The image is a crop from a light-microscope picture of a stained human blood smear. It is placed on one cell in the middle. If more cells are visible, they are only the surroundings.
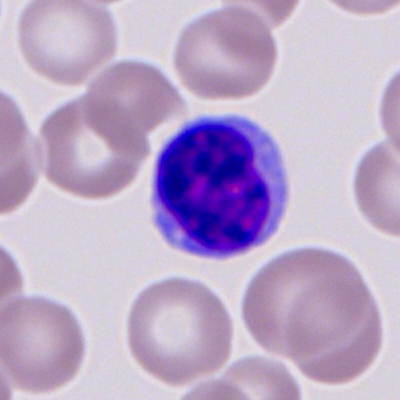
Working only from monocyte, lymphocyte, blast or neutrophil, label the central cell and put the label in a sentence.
The middle position in this crop is taken by a lymphocyte.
